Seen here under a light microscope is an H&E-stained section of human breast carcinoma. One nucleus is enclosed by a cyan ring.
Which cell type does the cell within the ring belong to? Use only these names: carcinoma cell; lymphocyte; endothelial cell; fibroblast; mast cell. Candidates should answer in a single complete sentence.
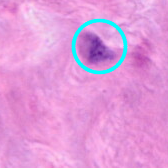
Just put down that the cell within the ring is a fibroblast.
